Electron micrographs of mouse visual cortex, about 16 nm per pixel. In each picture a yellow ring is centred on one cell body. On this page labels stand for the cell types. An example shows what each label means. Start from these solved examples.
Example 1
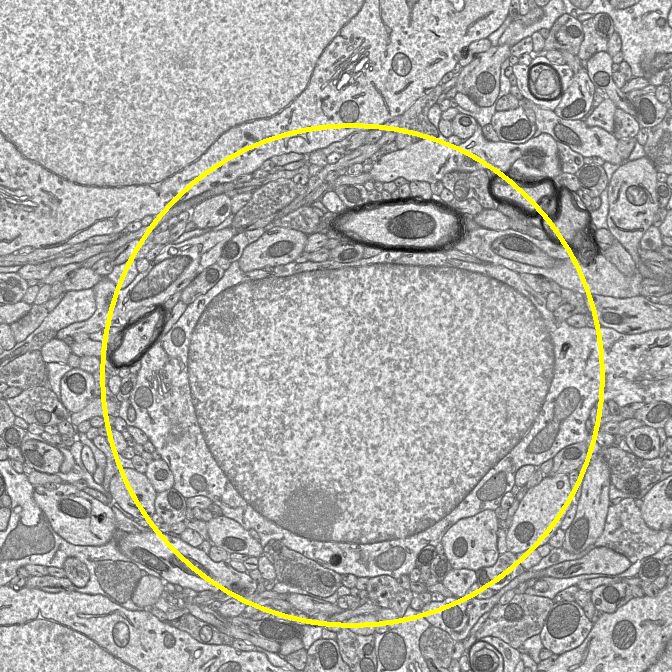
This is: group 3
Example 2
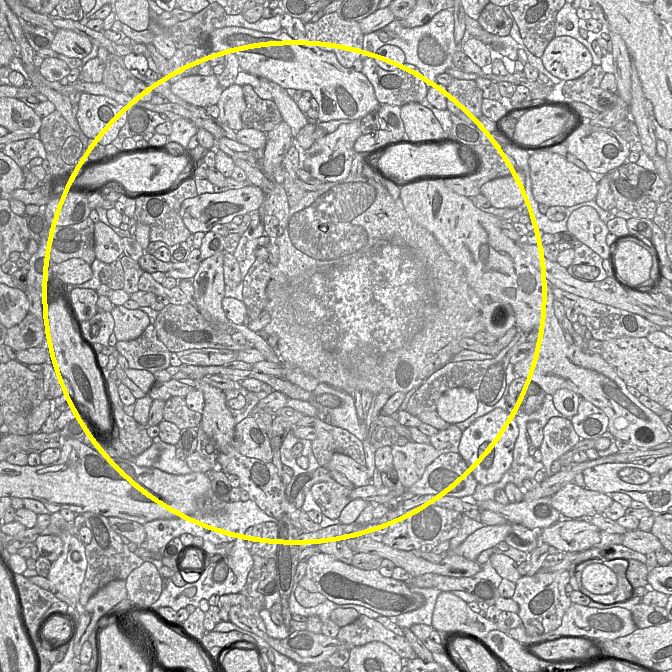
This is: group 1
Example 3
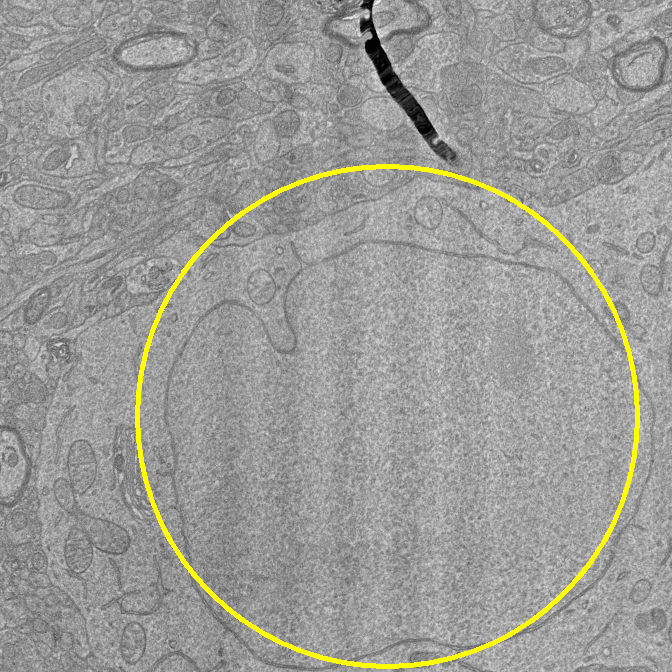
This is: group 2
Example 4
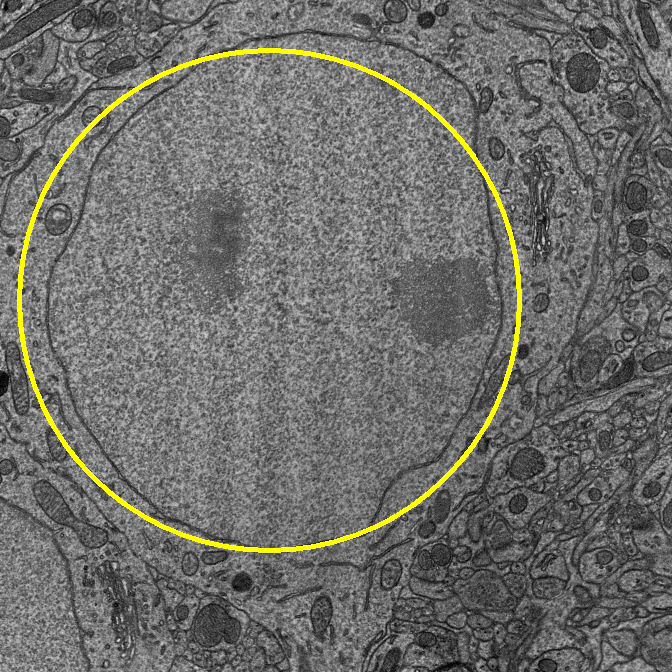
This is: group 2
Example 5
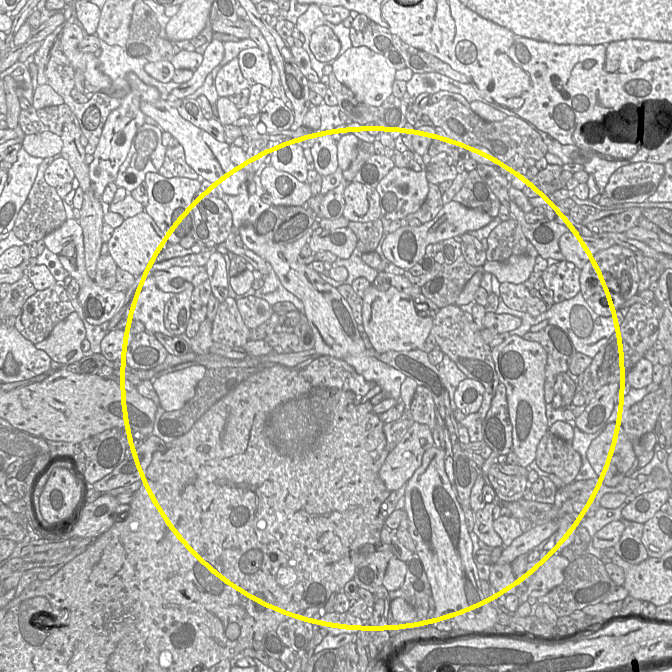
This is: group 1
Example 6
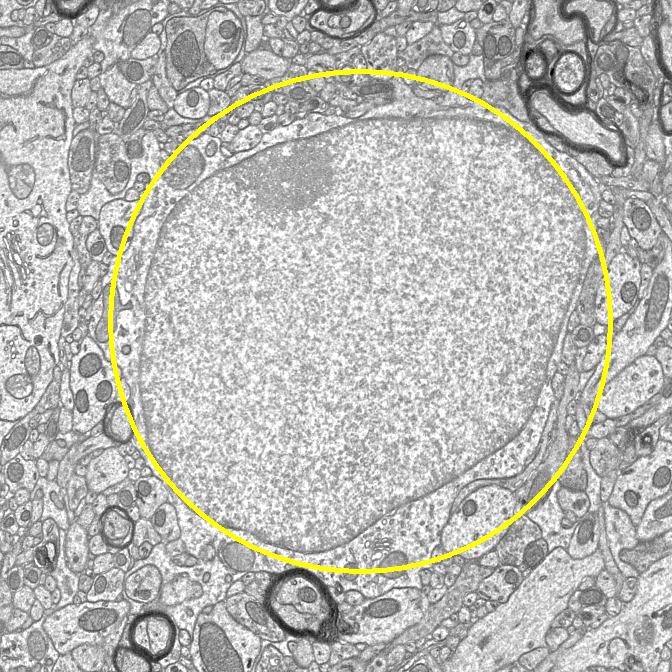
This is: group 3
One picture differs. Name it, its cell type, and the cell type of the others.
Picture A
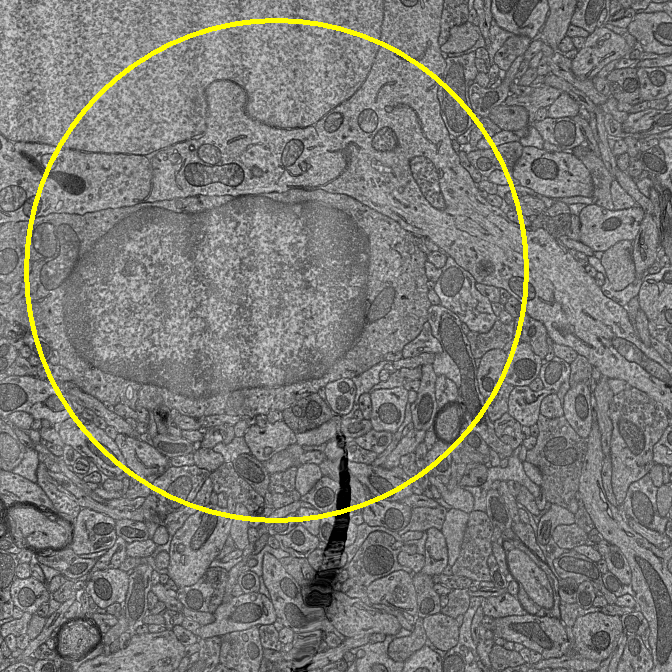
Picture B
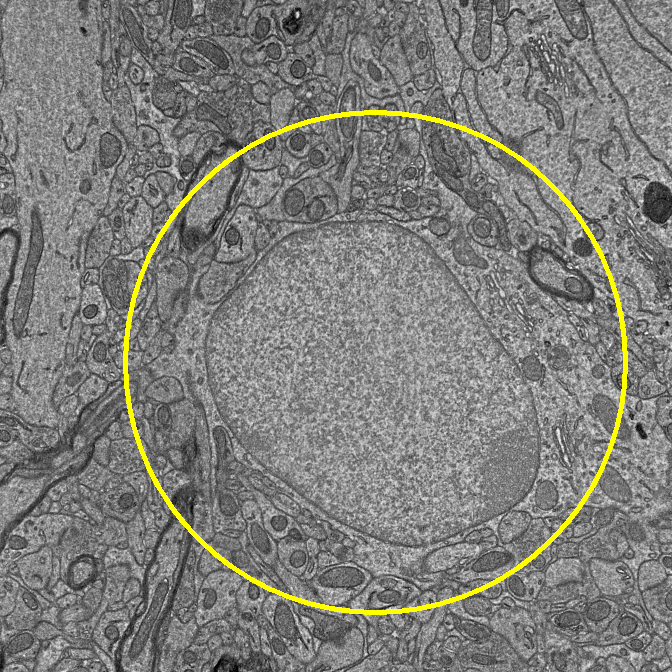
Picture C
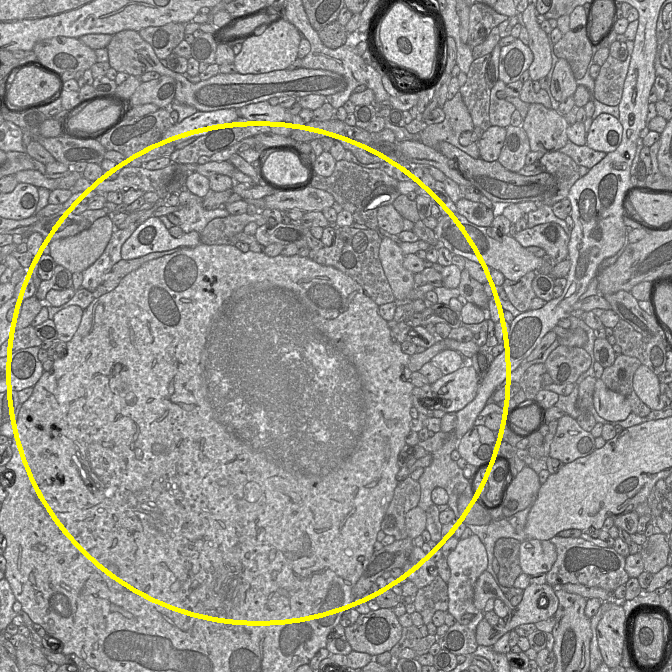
B differs and shows group 3; the others show group 1.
